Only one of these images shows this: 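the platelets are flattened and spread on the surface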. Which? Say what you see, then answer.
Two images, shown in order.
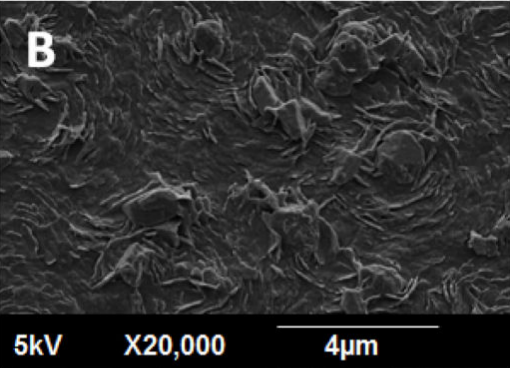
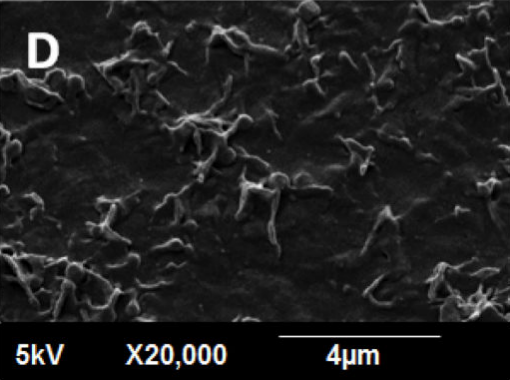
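Second image: small rounded bodies with short spiky branches stand out from the surface. First image: broad, flat sheet-like extensions spread over the surface with layered edges. That points to this answer: the first image.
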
